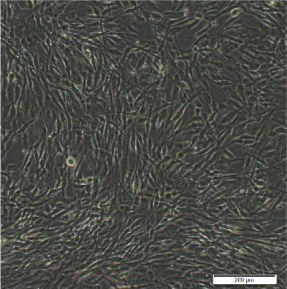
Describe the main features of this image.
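A dense, nearly confluent layer of spindle-shaped, fibroblast-like cells grows in culture. The cells are long and slender with tapering ends and lie side by side in parallel streams that bend into swirling arrays. Their outlines appear bright against a darker background, and a few rounded cells are scattered among them.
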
